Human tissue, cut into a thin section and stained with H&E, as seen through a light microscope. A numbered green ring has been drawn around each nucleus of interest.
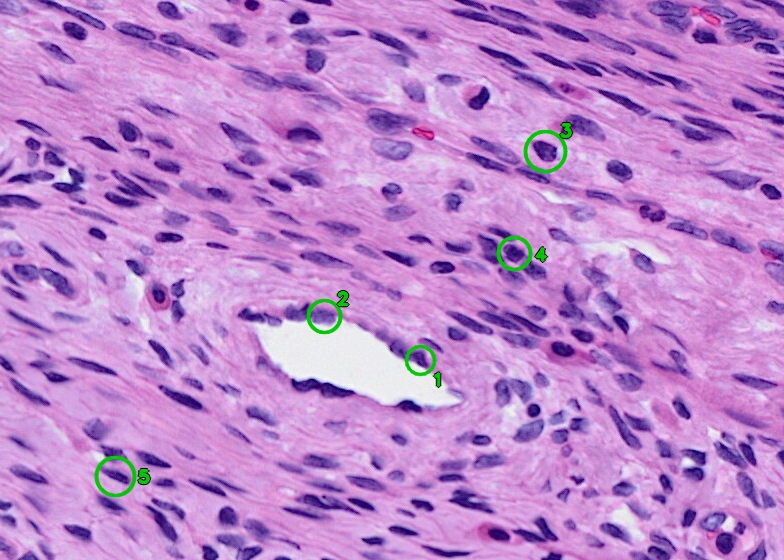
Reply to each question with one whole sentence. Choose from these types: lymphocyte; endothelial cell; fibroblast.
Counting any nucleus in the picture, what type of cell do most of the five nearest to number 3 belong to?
Most of the five nuclei nearest to number 3 are those of endothelial cells.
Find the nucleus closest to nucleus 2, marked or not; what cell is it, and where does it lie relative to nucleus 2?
Lying to the left of nucleus 2, the nearest nucleus is that of an endothelial cell.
